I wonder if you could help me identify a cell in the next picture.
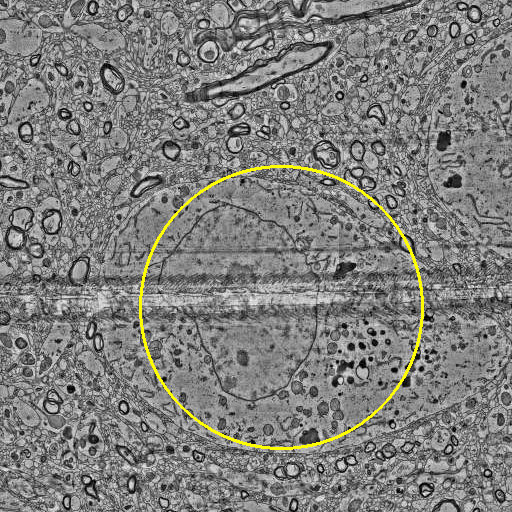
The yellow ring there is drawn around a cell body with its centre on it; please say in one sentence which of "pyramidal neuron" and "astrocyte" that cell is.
The yellow ring is centred on a pyramidal neuron.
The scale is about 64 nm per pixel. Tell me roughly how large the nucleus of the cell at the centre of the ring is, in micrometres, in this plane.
About 13 by 10 micrometers for the nucleus, in this plane.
